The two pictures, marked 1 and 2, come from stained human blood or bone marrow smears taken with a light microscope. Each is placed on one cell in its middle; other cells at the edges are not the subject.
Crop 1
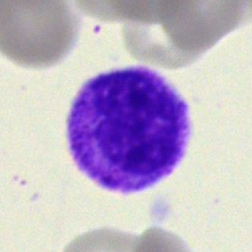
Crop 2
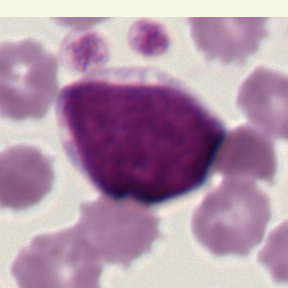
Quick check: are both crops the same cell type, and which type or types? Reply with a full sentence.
No, look again: crop 1 shows a myelocyte, and crop 2 shows a blast.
